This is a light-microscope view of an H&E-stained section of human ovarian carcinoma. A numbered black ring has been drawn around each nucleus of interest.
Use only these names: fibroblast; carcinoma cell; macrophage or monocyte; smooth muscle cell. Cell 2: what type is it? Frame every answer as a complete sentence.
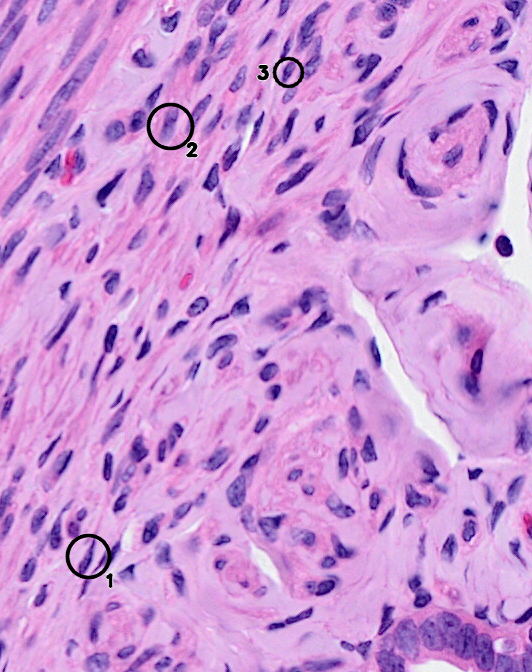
Cell 2 should be recorded as a smooth muscle cell.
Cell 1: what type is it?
The cell numbered 1 represents a fibroblast.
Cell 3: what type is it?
Cell 3 is classified as a smooth muscle cell.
